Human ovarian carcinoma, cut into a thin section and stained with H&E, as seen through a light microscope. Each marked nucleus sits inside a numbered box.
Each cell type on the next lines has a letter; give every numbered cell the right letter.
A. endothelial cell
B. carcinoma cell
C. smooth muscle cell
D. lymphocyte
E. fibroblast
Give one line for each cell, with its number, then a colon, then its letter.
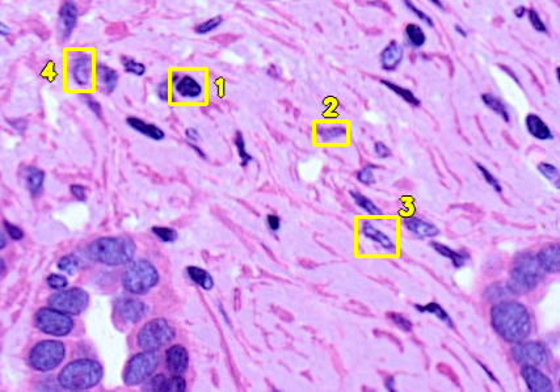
1: D
2: E
3: E
4: E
